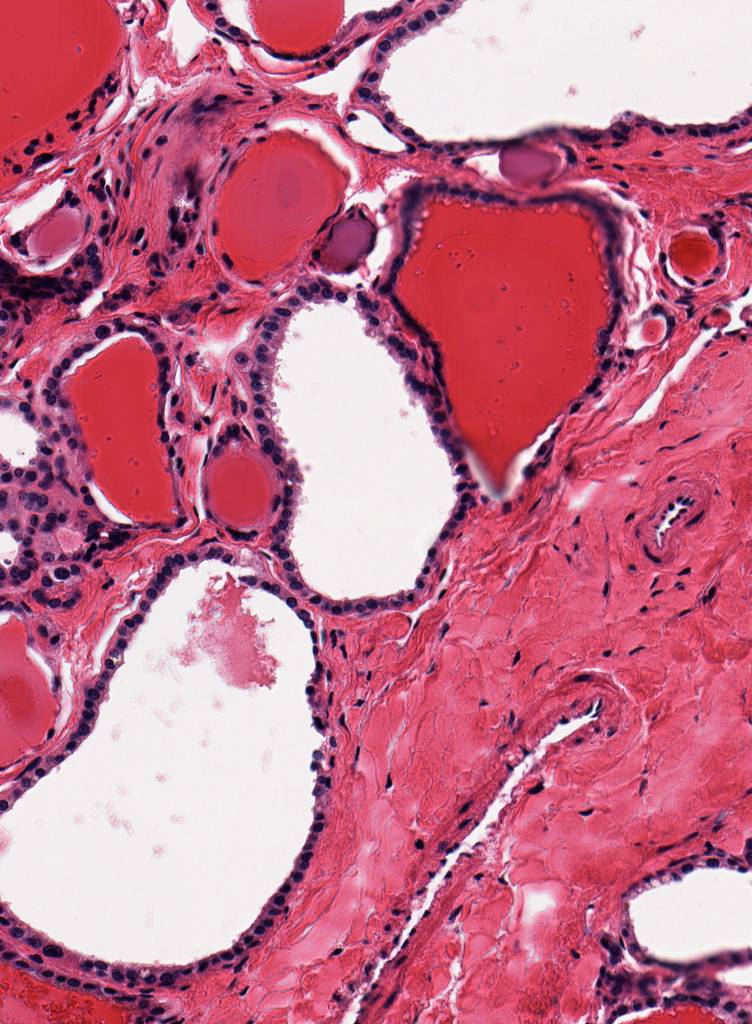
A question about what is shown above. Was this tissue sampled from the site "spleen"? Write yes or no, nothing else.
no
